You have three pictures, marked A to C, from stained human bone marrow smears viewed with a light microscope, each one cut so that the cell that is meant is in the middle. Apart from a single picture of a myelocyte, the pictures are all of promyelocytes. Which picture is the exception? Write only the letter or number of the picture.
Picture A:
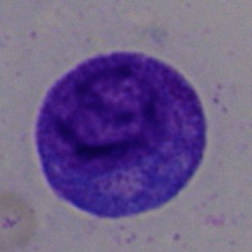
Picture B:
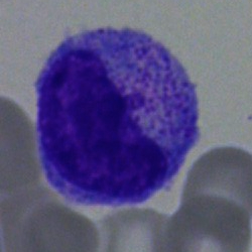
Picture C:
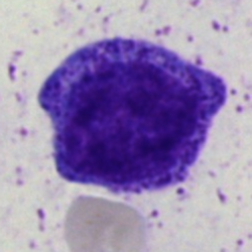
B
